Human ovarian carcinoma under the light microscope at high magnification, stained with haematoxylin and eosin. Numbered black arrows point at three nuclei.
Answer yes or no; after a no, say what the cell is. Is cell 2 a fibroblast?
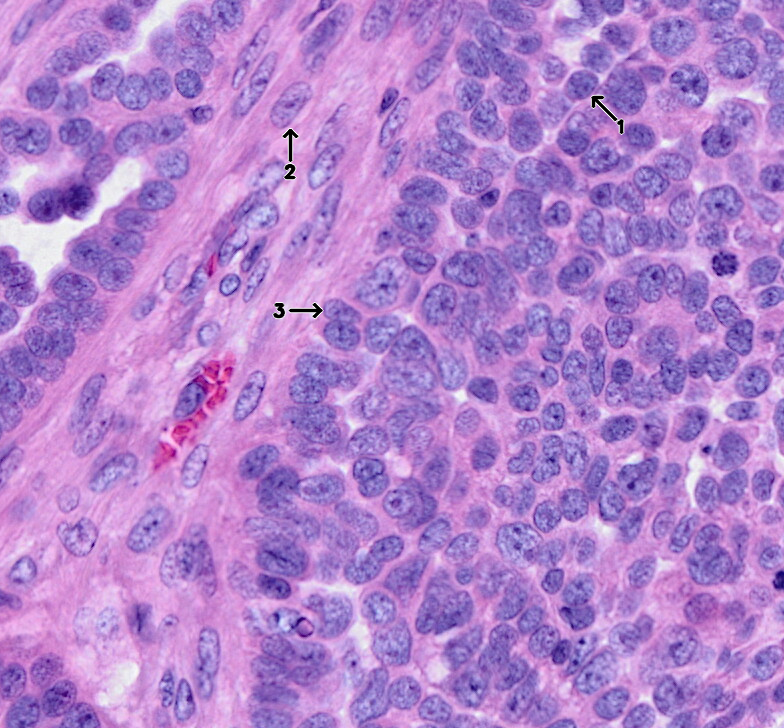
Yes.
